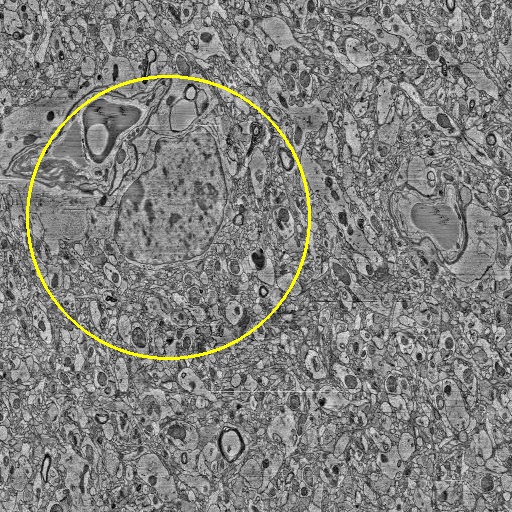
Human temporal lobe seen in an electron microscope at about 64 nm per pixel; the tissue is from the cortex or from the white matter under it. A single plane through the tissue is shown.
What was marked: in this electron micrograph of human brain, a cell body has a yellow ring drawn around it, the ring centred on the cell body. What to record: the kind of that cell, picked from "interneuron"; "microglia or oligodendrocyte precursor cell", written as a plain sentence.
The centred cell is a microglial cell or oligodendrocyte precursor cell.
